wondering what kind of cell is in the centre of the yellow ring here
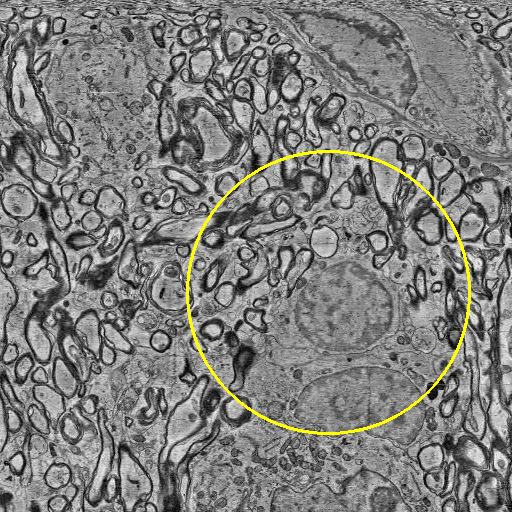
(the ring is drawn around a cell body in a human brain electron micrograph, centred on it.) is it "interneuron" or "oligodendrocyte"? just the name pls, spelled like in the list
oligodendrocyte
